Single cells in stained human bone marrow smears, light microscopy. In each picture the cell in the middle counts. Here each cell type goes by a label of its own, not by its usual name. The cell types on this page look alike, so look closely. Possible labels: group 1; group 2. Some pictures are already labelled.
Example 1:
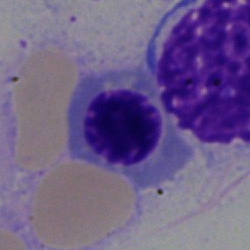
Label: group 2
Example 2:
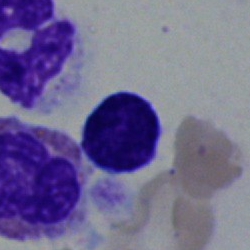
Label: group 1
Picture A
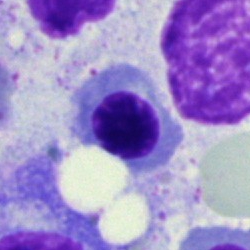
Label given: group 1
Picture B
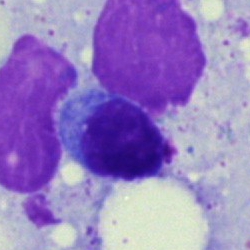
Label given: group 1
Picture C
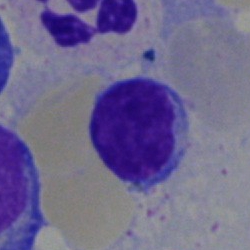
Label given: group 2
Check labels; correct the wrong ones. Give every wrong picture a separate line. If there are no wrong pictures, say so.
A is labelled group 1; correct label: group 2
C is labelled group 2; correct label: group 1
